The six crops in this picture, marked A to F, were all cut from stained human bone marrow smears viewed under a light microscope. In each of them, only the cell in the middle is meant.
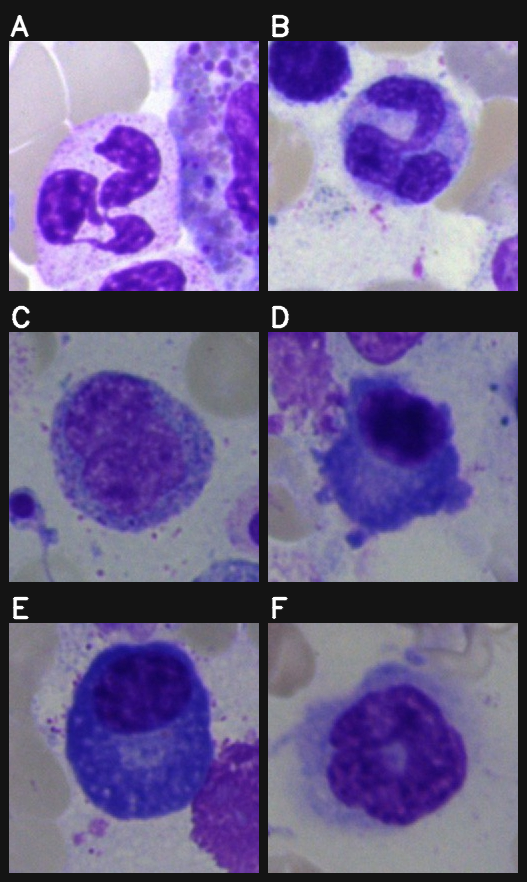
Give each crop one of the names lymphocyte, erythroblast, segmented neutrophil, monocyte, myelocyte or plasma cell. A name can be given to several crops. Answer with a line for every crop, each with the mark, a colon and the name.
A: segmented neutrophil
B: monocyte
C: monocyte
D: plasma cell
E: plasma cell
F: monocyte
